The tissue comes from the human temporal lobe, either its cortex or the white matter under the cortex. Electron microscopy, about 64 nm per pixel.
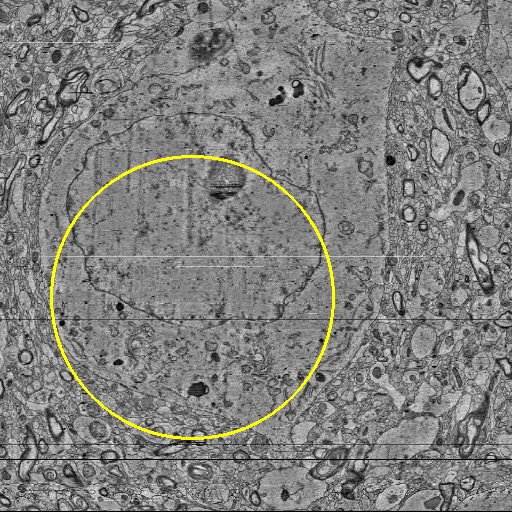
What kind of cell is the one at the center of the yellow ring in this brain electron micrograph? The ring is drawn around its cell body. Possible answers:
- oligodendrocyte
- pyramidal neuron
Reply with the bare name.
pyramidal neuron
